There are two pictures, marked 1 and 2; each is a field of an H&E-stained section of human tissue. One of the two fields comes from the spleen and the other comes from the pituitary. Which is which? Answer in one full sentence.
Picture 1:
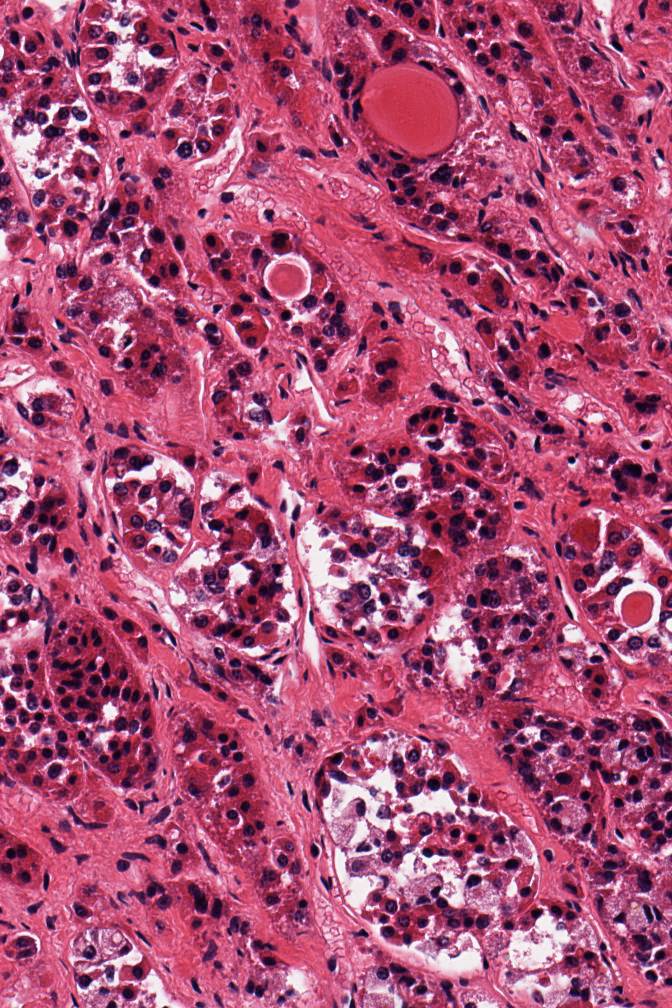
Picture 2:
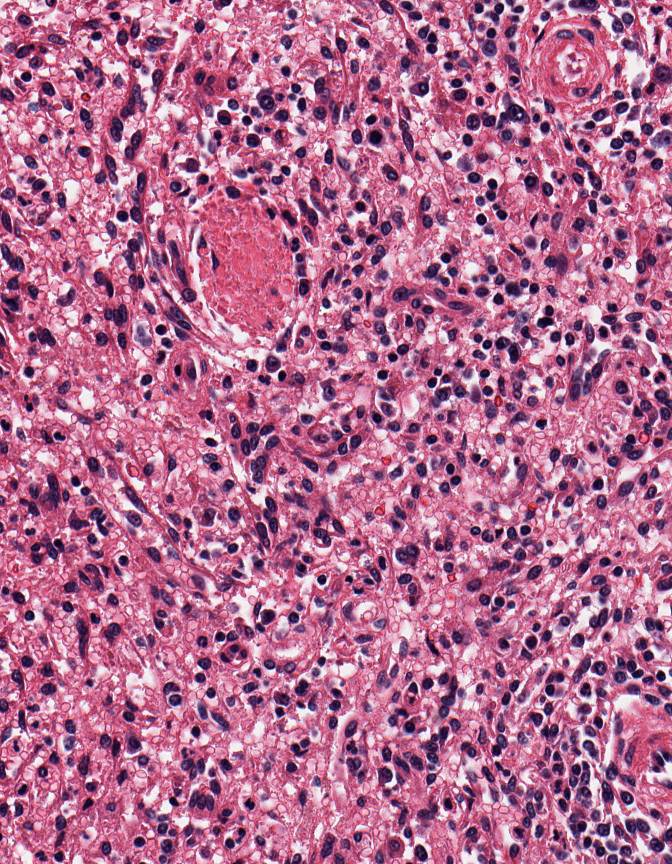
Picture 1 comes from the pituitary and picture 2 comes from the spleen.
